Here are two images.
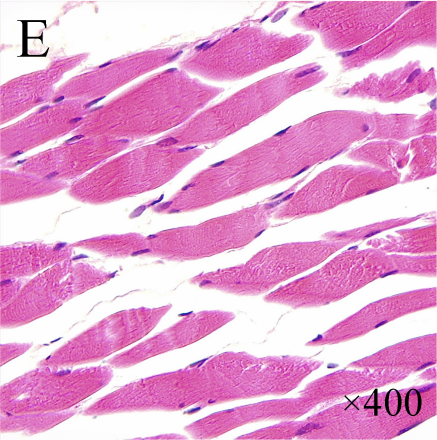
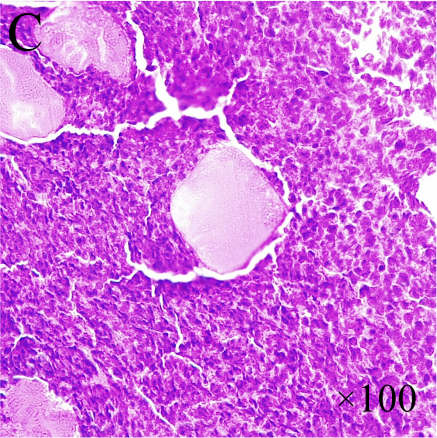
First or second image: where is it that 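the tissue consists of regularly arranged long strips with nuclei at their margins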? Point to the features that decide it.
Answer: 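Second image: dense sheets of small purple-staining cells surround a few isolated pink fiber cross-sections. First image: parallel long pink fibers with flattened nuclei along their edges fill the field.
Conclusion: the first image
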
